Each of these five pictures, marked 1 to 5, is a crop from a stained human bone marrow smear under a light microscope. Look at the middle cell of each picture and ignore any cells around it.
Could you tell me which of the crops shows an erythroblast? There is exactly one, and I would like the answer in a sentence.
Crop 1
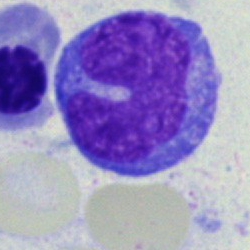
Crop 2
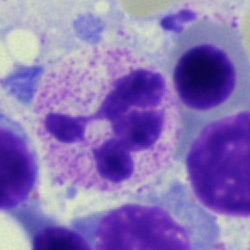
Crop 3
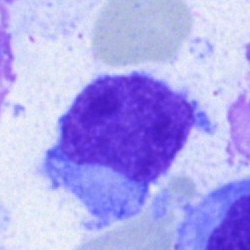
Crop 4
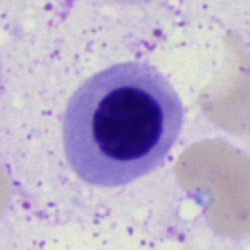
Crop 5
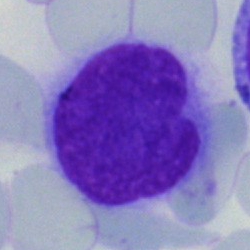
In the set of crops, crop 4 is the one that contains an erythroblast.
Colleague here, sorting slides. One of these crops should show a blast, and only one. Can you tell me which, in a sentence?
That would be crop 5; it shows a blast.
